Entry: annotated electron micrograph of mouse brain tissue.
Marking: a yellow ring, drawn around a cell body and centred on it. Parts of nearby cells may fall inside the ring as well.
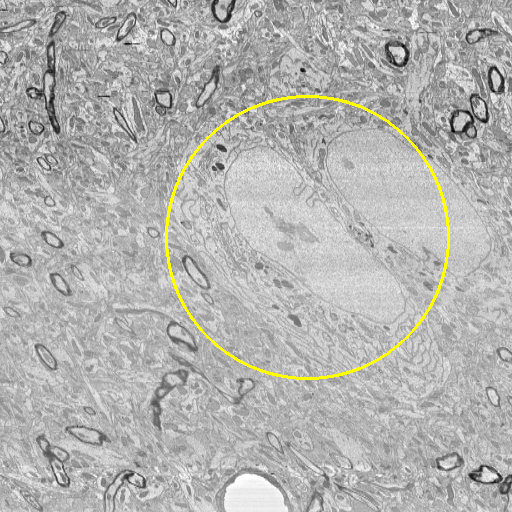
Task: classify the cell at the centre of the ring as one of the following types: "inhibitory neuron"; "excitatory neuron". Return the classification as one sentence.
The marked cell is classified as an inhibitory neuron.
